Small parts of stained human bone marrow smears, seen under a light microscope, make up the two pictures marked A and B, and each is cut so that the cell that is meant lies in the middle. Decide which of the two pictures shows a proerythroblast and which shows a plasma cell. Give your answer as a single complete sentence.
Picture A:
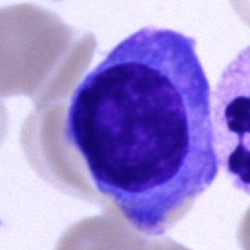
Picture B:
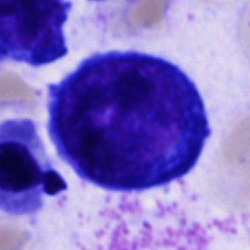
The cell in picture A is a plasma cell, and the one in picture B is a proerythroblast.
